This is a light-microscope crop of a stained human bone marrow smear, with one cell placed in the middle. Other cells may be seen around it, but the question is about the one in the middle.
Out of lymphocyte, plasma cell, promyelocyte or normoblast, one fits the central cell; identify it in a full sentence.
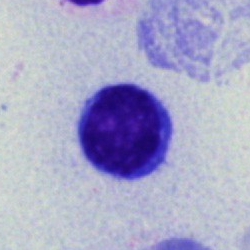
Looking at the middle of the crop, the cell there is a lymphocyte.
